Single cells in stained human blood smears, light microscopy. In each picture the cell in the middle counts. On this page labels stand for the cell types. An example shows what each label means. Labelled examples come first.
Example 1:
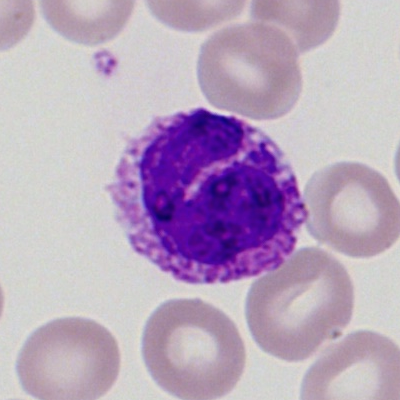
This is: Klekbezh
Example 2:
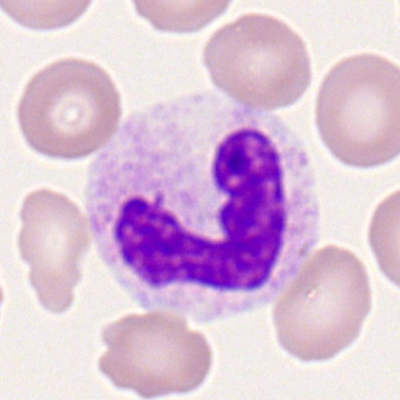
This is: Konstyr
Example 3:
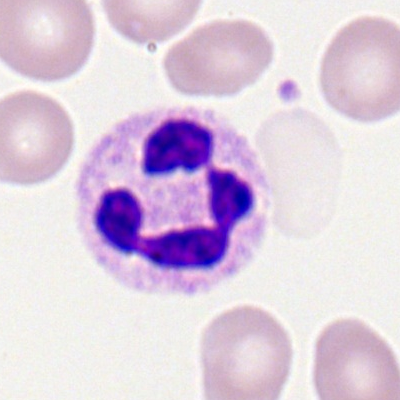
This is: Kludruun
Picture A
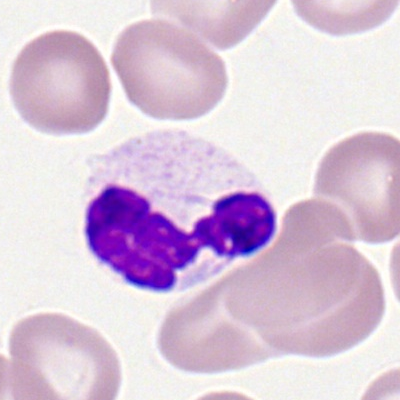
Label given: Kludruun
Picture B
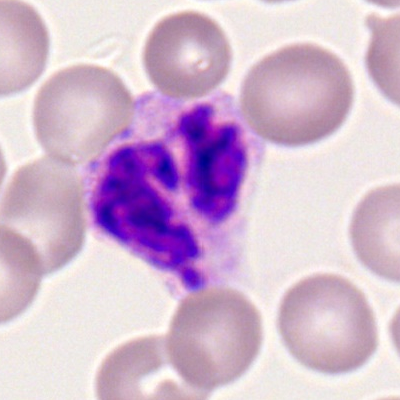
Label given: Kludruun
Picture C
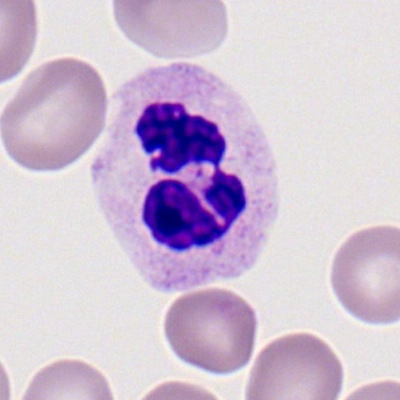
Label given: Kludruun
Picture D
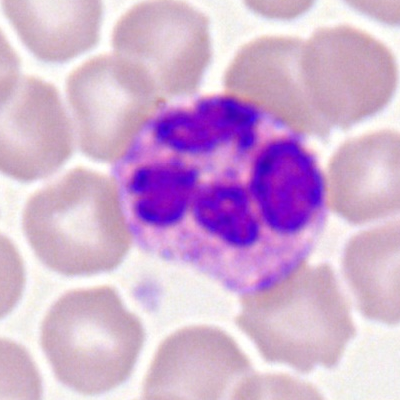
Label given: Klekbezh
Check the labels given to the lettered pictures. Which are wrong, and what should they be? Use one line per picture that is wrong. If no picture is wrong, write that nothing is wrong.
B: not Kludruun but Klekbezh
